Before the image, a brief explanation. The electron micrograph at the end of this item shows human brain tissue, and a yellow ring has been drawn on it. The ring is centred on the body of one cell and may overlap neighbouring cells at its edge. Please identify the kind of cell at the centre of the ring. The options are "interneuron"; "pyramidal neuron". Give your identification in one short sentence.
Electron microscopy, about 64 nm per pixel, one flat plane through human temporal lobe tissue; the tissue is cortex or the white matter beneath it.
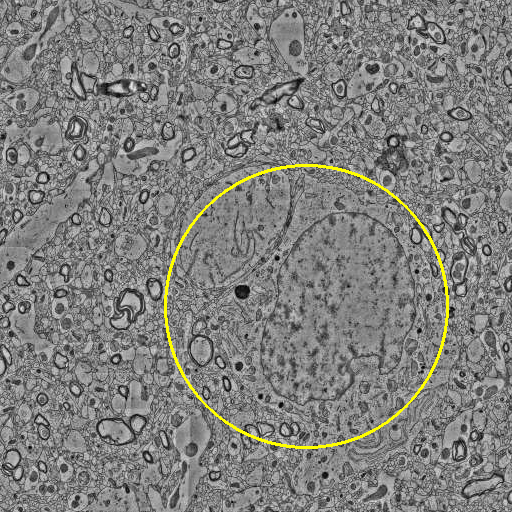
The ring has been placed around an interneuron.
